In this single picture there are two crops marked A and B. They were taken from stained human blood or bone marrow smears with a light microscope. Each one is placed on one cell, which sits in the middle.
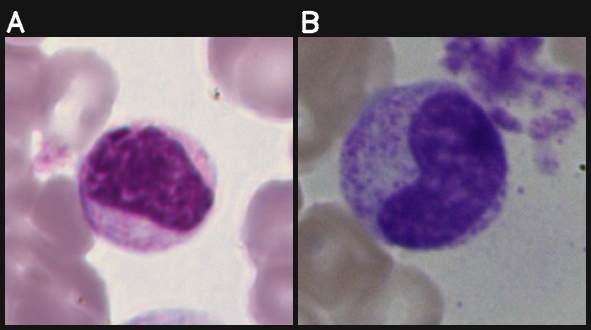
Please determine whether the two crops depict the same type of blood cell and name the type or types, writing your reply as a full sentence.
Yes, as shown in both crops, the central cells are metamyelocytes.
